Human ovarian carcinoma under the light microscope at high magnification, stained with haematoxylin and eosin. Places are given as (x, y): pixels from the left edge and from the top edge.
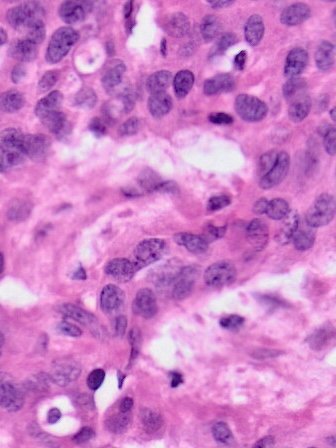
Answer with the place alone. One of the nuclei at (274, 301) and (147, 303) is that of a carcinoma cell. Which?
(147, 303)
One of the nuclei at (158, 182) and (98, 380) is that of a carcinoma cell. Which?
(98, 380)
